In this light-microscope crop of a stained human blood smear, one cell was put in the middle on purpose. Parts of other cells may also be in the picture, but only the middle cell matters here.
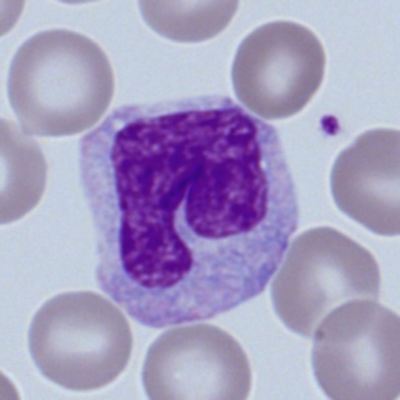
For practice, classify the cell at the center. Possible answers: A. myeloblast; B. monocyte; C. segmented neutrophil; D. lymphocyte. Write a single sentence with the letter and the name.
In this crop the middle cell is a monocyte, so option B is the correct answer.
